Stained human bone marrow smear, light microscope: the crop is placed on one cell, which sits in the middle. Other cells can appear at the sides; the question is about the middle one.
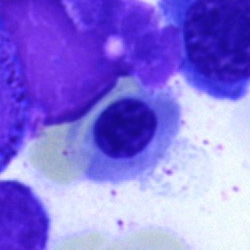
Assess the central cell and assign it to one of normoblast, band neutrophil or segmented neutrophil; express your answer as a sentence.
The crop's centre is taken up by a normoblast.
